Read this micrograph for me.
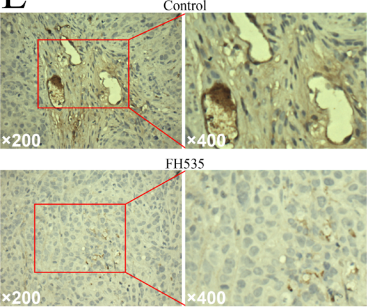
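In the upper row, several open, empty channels run through the tissue, and their walls are lined by thin, brown-stained cells. One of the channels is filled with dark brown material. In the lower row, the tissue is denser and more uniformly cellular, with plump tumour nuclei packed closely together. Brown staining there is limited to a few small, faint clusters, and no open lumens are seen.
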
